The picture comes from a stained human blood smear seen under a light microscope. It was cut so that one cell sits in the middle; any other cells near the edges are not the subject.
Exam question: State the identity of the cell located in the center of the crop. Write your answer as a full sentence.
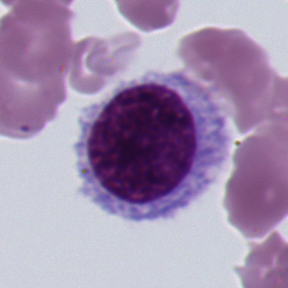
By classification, the middle cell of this crop is a hairy cell.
